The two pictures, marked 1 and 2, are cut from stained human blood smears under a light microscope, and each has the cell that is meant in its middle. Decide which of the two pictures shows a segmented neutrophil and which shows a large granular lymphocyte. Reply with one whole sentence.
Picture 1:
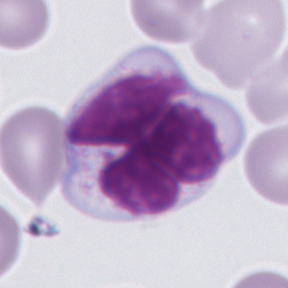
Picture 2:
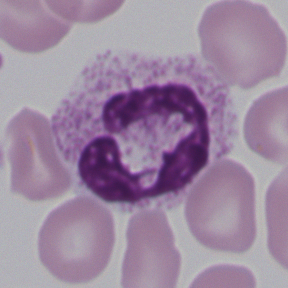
In picture 1 the cell is a large granular lymphocyte; in picture 2, a segmented neutrophil.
